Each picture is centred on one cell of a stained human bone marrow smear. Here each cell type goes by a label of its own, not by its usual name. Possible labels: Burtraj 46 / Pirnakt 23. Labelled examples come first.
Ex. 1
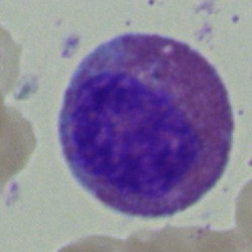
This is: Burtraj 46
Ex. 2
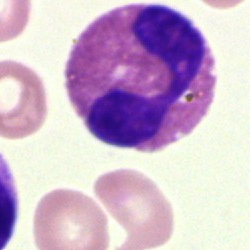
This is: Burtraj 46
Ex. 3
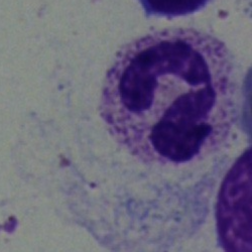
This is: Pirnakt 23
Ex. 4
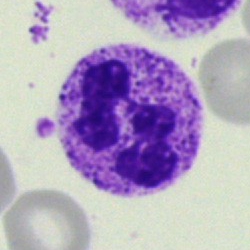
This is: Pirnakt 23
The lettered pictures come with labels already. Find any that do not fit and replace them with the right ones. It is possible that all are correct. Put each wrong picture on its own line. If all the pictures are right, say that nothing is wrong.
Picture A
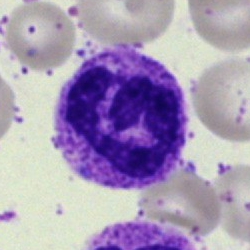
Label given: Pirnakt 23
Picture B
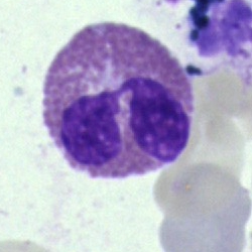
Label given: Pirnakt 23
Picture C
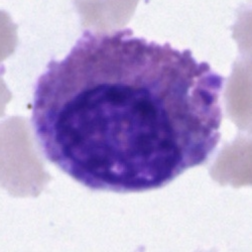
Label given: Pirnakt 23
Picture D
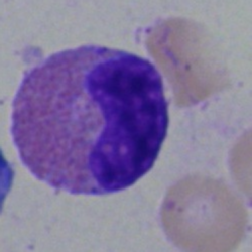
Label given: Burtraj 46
B is labelled Pirnakt 23; correct label: Burtraj 46
C is labelled Pirnakt 23; correct label: Burtraj 46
